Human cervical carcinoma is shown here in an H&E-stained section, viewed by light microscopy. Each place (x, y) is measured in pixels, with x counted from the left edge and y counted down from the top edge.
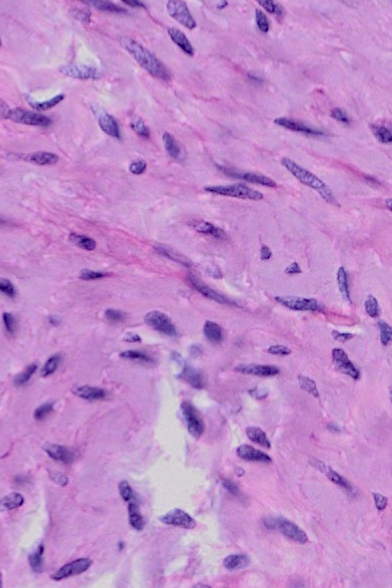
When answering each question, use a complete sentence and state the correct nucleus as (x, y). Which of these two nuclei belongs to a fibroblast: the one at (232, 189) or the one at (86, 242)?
The nucleus of a fibroblast lies at (232, 189), not at the other position.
